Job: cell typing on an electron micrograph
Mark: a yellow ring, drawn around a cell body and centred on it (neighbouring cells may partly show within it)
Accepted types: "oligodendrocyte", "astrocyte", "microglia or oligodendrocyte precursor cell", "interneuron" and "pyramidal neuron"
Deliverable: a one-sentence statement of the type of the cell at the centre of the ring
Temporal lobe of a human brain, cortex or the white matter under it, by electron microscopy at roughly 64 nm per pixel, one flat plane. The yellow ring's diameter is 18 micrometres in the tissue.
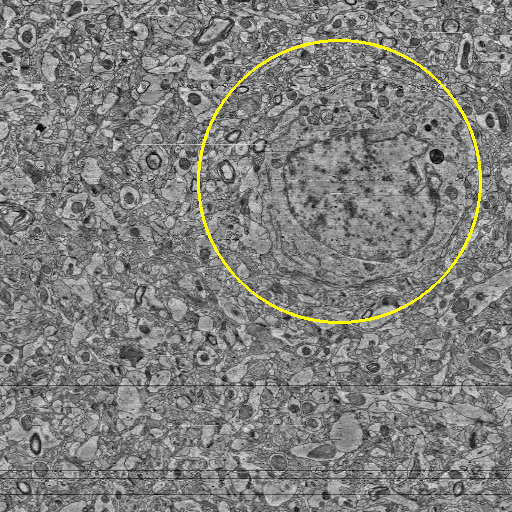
The centred cell body is that of an interneuron.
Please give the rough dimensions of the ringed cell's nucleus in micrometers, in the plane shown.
The nucleus appears roughly 10 by 9 micrometres in this plane.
